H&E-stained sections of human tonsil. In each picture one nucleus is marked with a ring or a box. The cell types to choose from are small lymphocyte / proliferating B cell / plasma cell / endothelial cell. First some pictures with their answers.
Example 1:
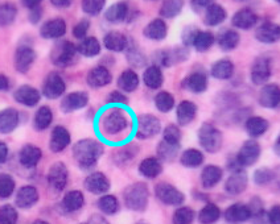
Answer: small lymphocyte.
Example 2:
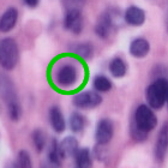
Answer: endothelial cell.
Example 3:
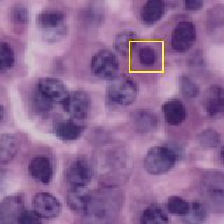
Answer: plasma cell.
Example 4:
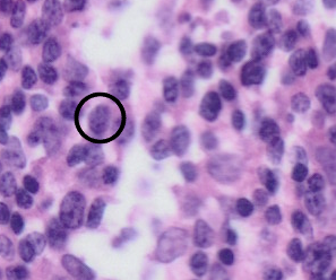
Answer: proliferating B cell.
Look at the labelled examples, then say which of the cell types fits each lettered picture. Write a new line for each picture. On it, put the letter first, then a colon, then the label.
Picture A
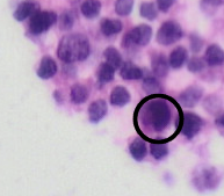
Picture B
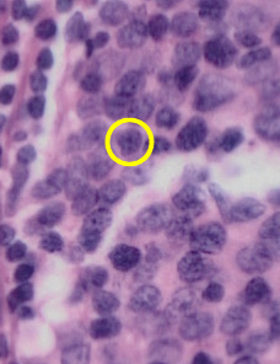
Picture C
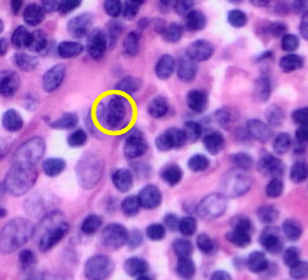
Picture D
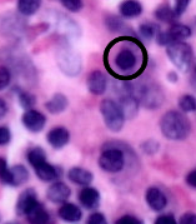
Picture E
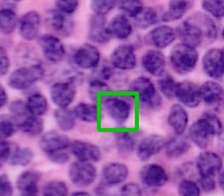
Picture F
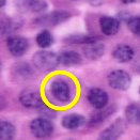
A: proliferating B cell.
B: proliferating B cell.
C: endothelial cell.
D: endothelial cell.
E: small lymphocyte.
F: plasma cell.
